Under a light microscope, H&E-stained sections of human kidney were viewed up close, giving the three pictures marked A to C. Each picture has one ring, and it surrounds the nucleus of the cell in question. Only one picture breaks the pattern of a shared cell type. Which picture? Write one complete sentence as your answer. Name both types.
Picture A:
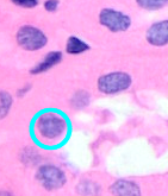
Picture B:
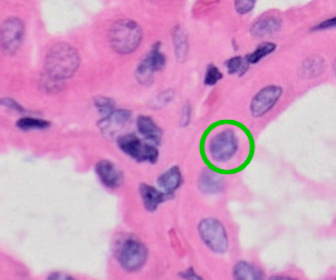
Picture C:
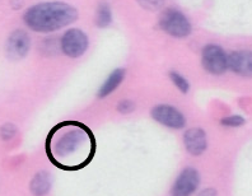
All pictures except C show “loop of Henle or distal tubule cells”; picture C shows a collecting duct cell.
